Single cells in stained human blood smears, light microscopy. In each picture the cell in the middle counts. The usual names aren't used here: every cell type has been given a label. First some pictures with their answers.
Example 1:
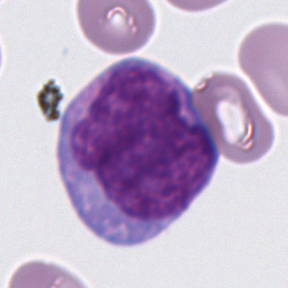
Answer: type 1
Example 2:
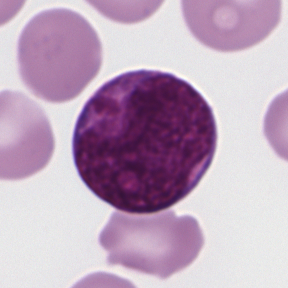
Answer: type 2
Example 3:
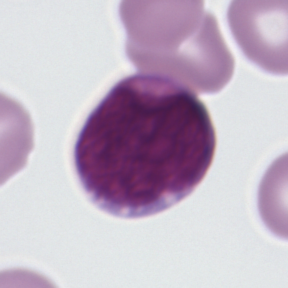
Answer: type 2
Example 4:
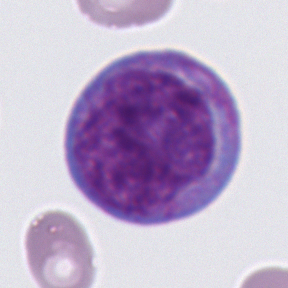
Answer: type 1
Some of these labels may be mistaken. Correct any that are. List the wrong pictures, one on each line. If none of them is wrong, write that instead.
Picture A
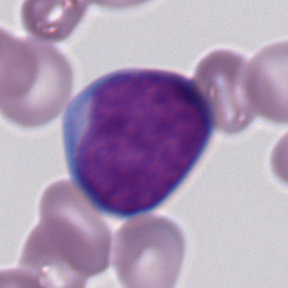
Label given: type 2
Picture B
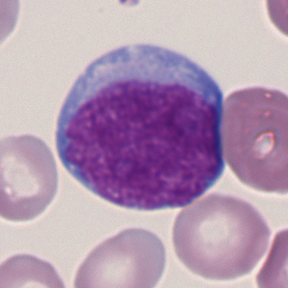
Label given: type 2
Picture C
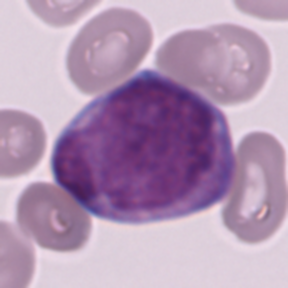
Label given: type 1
Nothing to fix; every label fits.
